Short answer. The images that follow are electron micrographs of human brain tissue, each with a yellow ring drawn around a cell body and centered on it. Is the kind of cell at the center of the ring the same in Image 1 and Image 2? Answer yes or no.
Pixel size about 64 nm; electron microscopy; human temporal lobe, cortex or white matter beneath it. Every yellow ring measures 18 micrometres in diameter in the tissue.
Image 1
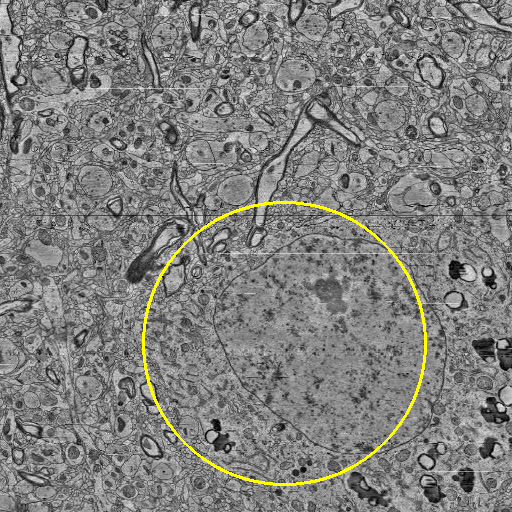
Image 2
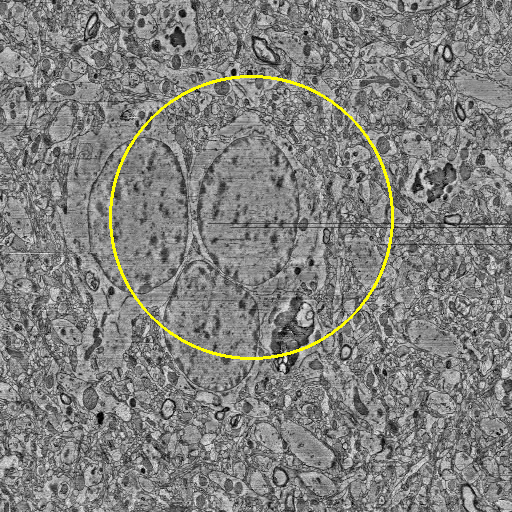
no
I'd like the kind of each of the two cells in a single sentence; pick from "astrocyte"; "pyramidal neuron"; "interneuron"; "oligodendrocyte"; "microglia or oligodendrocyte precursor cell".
The first ring marks a pyramidal neuron, and the second ring marks an astrocyte.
